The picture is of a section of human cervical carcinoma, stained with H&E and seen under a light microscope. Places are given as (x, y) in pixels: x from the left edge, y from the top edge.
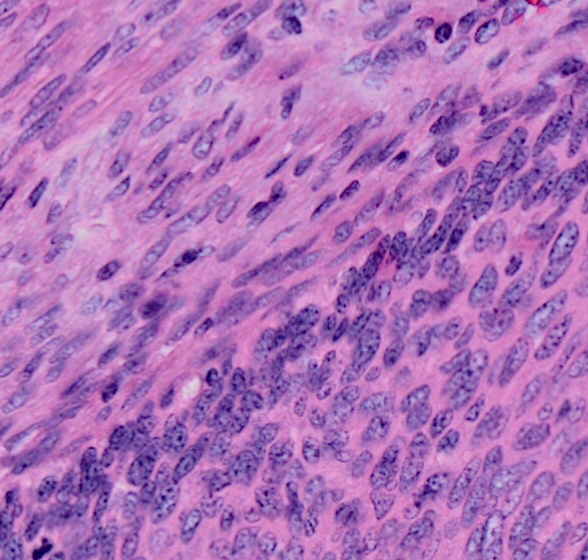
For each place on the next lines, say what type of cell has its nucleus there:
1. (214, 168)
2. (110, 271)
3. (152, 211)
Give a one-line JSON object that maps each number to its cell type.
{"1": "smooth muscle cell", "2": "lymphocyte", "3": "smooth muscle cell"}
